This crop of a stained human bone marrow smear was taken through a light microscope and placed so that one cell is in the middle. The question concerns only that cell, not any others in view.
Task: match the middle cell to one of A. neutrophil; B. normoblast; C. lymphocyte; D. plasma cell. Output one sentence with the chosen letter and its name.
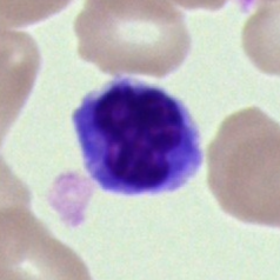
Here the right option is B, as the cell in the middle is a normoblast.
